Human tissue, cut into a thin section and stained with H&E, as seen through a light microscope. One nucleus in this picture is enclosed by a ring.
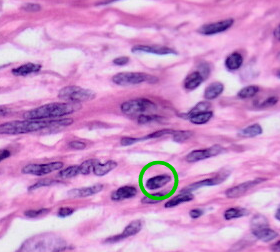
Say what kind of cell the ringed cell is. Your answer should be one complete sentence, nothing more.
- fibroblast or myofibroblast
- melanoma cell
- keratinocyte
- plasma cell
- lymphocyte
In short, the ringed cell on this section is a lymphocyte.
